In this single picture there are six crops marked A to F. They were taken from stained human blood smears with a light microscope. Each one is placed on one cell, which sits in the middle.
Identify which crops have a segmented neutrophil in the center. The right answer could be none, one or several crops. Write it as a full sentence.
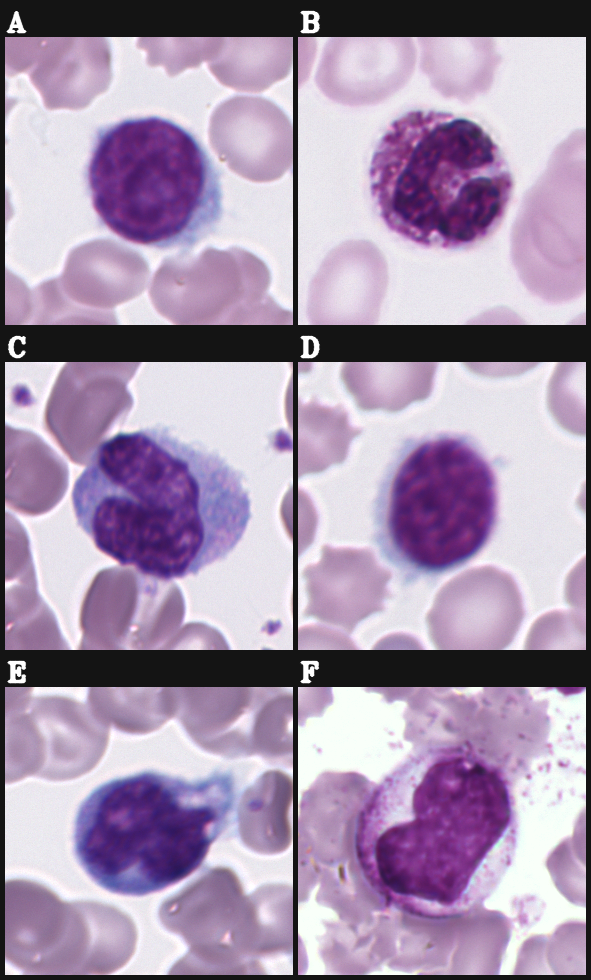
Depicted in none of the crops is a segmented neutrophil.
